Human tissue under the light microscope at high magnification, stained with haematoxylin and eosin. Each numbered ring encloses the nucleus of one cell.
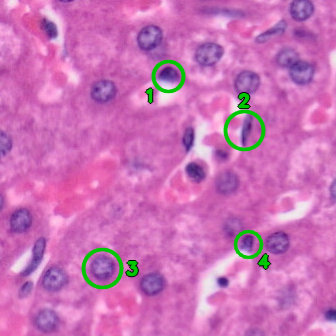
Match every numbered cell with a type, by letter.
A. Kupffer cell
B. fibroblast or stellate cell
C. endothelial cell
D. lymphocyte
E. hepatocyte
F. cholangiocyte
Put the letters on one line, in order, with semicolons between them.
B; C; E; B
